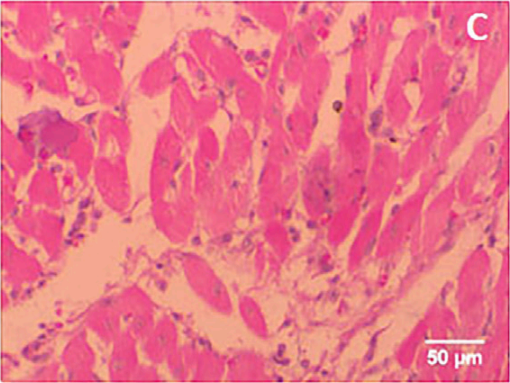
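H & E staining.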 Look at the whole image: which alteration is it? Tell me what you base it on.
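Muscle fibers are broken into short, irregular fragments. Fibers have lost their parallel alignment. Some fiber fragments stain unevenly.
Answer: degeneration of myocardial fibers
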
